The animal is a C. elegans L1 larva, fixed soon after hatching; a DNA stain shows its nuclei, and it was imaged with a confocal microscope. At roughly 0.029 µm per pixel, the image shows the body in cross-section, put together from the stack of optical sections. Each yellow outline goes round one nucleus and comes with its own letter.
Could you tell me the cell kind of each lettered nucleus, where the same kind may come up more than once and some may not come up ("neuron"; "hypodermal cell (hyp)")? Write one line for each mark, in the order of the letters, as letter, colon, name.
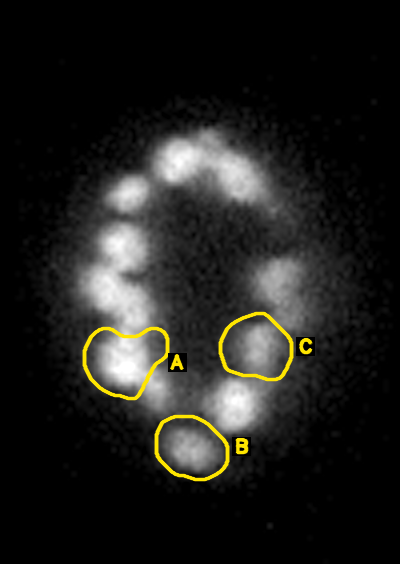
A: neuron
B: hypodermal cell (hyp)
C: neuron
